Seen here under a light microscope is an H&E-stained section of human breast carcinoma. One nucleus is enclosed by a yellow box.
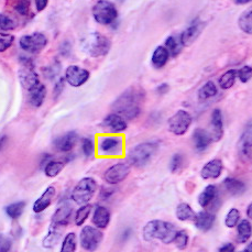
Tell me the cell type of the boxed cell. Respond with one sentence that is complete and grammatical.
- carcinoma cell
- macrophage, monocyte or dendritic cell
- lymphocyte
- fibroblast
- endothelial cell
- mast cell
The identity of the boxed cell is that of a lymphocyte.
